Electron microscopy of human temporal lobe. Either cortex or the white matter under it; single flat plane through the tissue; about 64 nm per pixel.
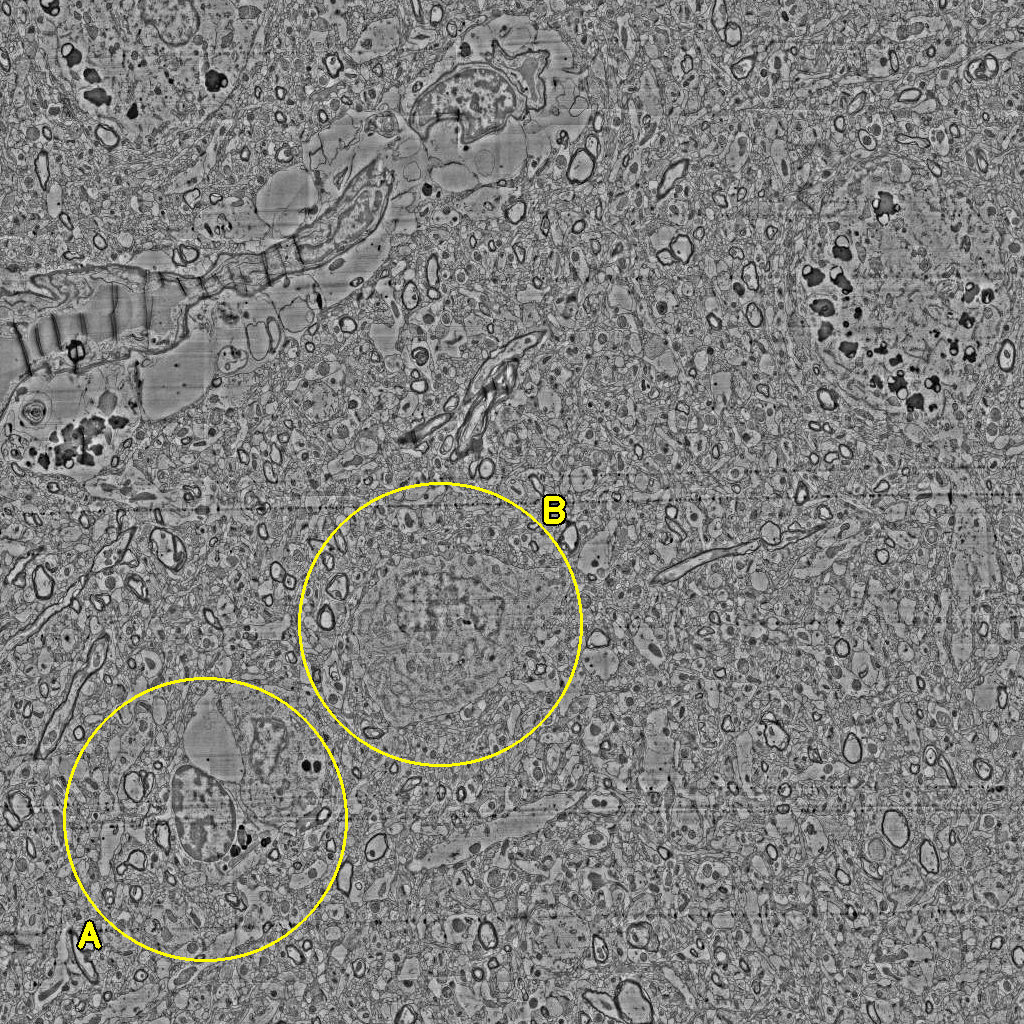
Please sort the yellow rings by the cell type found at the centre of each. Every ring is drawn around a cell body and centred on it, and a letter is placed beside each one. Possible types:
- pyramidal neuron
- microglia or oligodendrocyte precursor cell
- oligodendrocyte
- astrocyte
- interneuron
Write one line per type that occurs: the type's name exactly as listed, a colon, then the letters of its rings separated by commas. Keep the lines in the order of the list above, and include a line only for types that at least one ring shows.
microglia or oligodendrocyte precursor cell: A
oligodendrocyte: B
